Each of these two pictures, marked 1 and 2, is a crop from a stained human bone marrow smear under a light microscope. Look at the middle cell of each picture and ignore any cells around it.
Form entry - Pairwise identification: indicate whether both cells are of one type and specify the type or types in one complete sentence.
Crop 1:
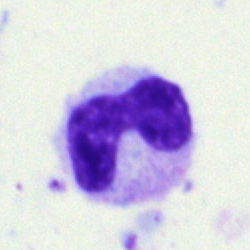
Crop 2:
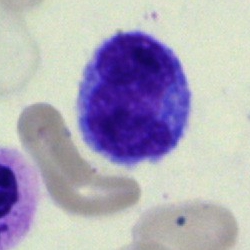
No, crop 1 is where a band neutrophil is shown, and crop 2 is where a monocyte is shown.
